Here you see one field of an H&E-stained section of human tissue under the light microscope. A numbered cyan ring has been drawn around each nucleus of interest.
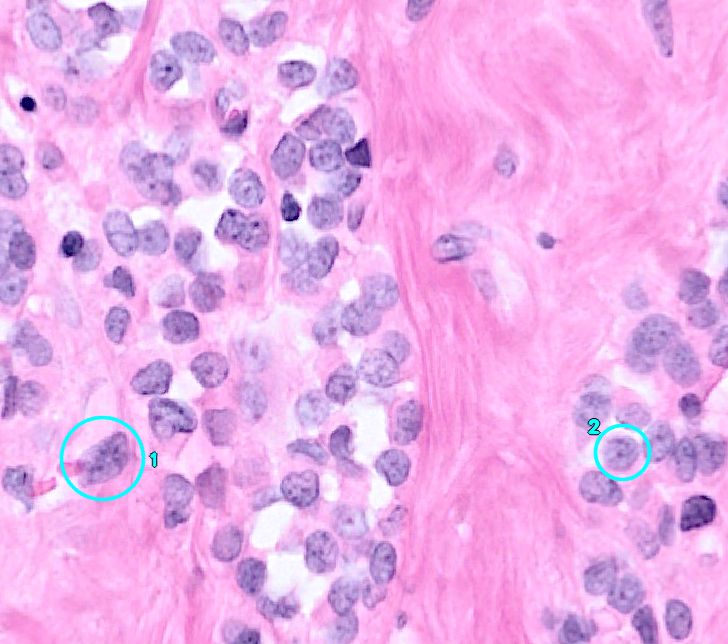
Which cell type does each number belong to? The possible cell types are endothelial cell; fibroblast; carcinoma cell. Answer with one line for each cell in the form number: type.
1: endothelial cell
2: carcinoma cell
